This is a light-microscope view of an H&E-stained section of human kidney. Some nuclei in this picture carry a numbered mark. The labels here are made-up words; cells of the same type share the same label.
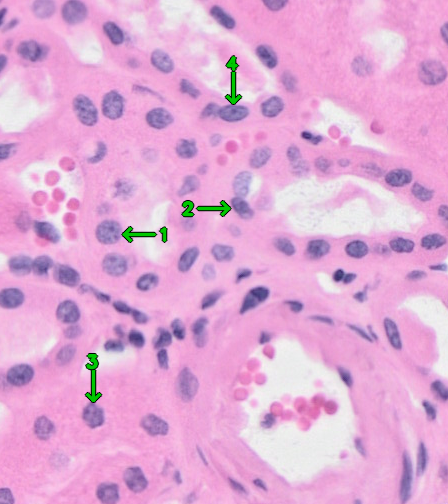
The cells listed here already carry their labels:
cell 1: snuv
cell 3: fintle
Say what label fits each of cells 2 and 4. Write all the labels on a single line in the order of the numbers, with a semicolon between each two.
snuv; snuv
